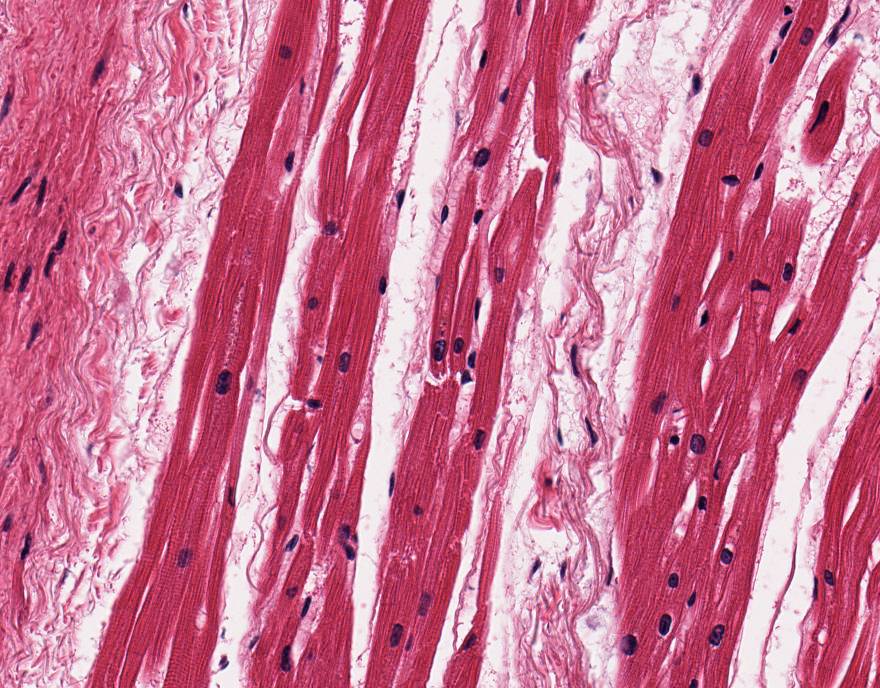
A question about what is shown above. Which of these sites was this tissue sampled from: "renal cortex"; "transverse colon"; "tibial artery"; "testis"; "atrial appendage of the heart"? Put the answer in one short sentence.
The site this tissue was sampled from is the atrial appendage of the heart.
